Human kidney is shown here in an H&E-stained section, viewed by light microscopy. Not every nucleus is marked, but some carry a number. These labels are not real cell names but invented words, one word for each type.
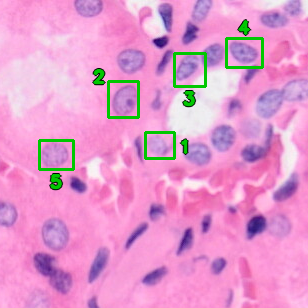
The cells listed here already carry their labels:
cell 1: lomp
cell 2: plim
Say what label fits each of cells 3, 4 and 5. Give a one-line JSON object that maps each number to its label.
{"3": "lomp", "4": "lomp", "5": "plim"}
